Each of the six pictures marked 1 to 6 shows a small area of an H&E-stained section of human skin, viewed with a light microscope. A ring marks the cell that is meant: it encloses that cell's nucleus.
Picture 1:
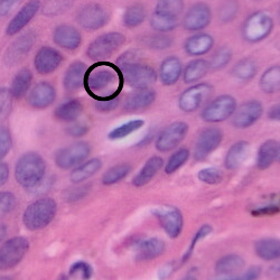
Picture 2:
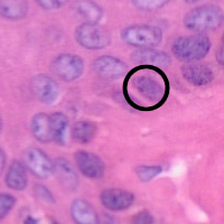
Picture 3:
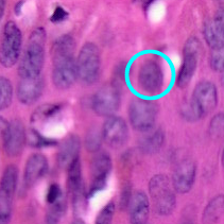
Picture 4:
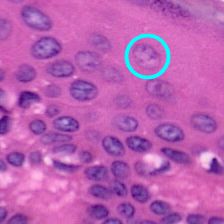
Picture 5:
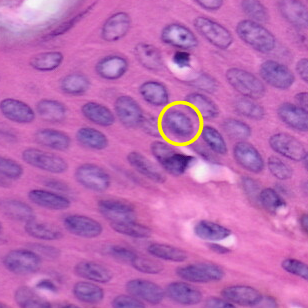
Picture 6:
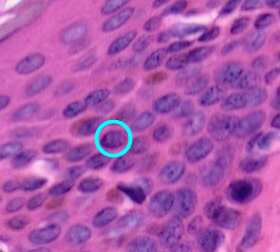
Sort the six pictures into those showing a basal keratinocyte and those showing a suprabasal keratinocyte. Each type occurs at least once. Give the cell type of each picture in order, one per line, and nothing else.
basal keratinocyte
basal keratinocyte
basal keratinocyte
suprabasal keratinocyte
suprabasal keratinocyte
basal keratinocyte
